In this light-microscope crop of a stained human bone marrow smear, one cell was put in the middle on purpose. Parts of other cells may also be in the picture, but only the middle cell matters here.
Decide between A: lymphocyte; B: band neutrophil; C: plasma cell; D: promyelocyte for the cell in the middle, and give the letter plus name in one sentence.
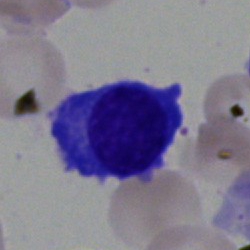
What option C states is correct, the central cell being a plasma cell.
